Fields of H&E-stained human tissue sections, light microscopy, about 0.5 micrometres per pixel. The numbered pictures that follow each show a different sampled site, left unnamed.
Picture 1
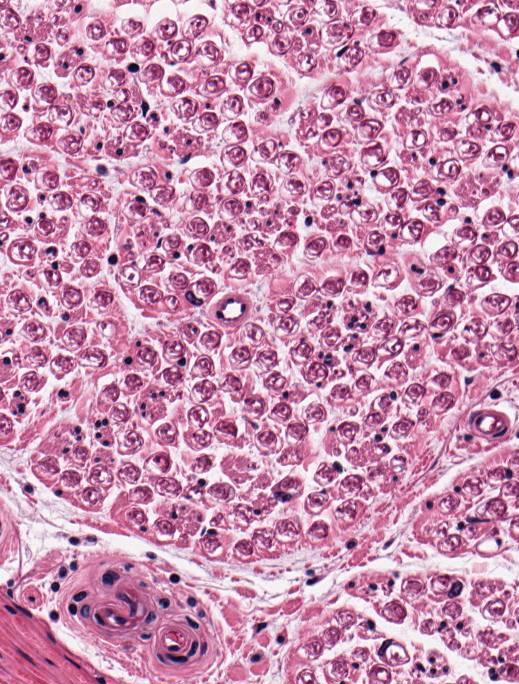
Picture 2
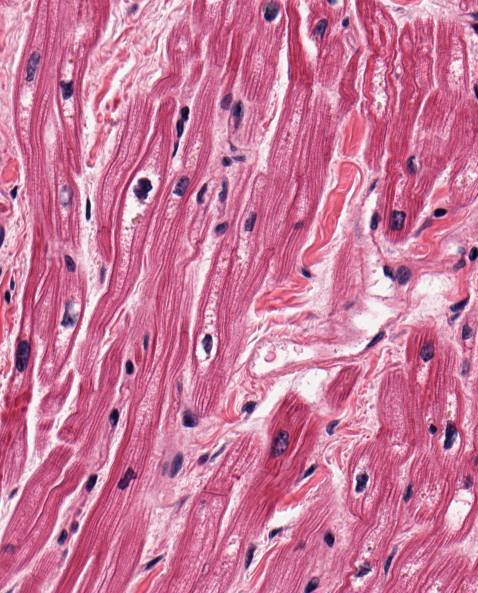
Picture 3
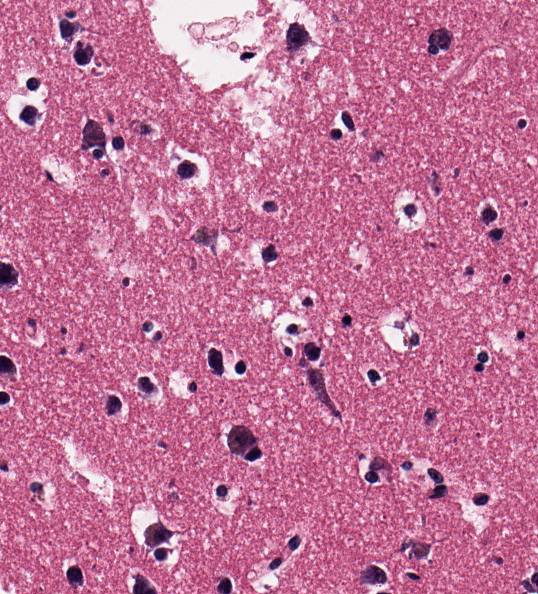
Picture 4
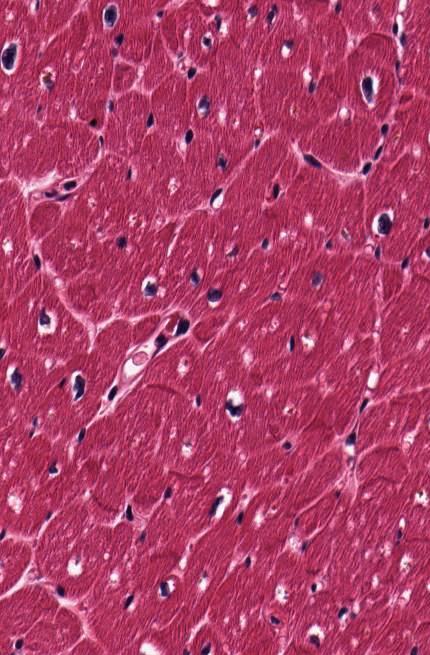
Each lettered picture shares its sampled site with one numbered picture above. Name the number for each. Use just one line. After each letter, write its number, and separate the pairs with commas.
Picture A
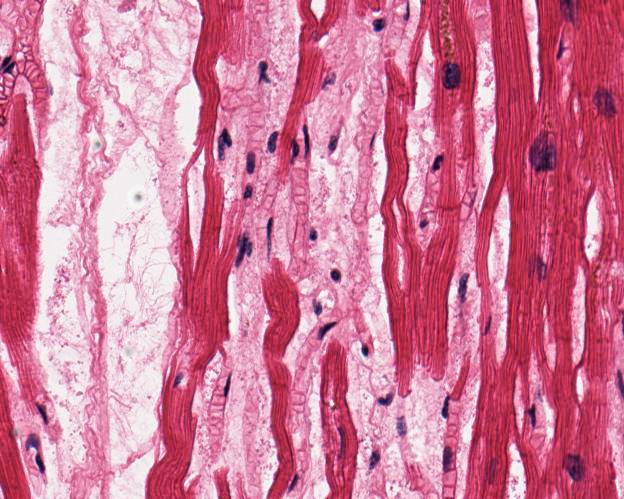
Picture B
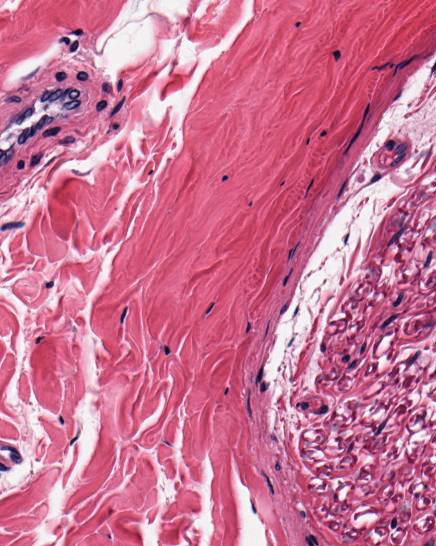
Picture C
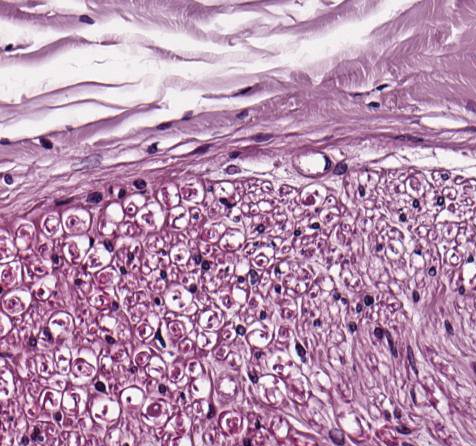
A 4, B 1, C 1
